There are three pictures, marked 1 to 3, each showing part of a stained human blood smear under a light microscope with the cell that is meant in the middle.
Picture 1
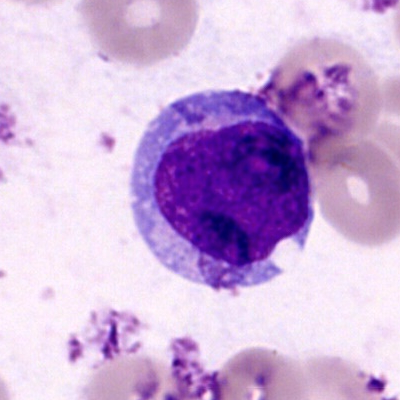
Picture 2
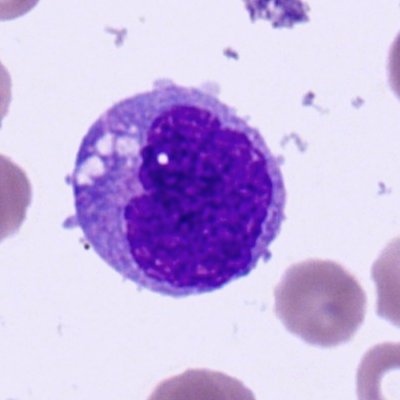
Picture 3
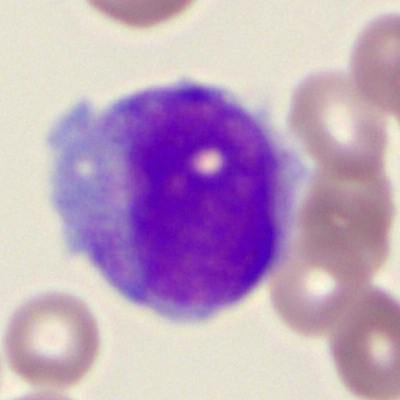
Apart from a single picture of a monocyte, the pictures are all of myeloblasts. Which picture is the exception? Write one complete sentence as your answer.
It is picture 2 that shows the monocyte.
